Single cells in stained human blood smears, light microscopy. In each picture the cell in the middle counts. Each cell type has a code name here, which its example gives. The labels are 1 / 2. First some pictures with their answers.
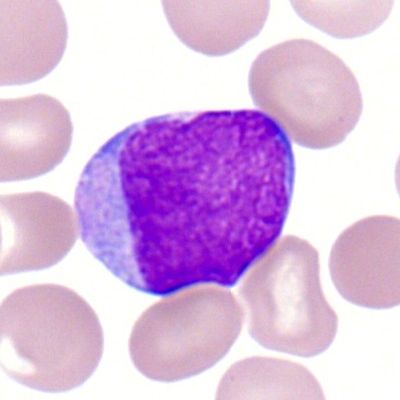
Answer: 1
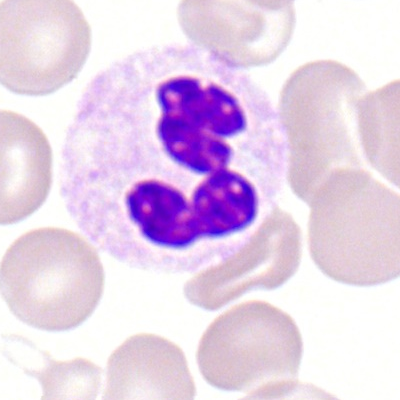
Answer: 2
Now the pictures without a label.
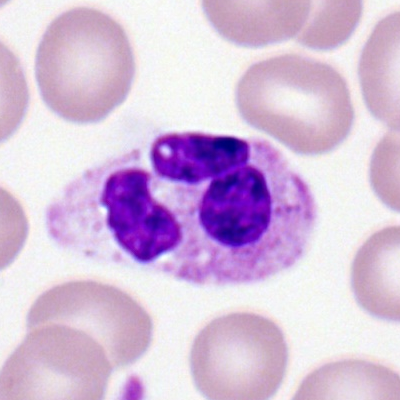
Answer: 2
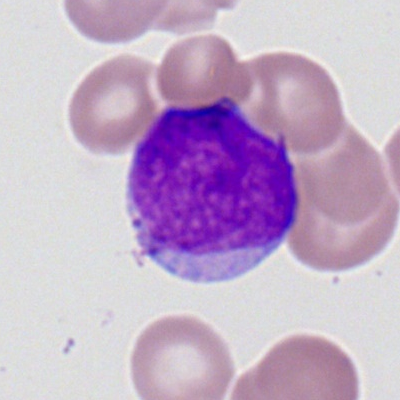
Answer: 1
